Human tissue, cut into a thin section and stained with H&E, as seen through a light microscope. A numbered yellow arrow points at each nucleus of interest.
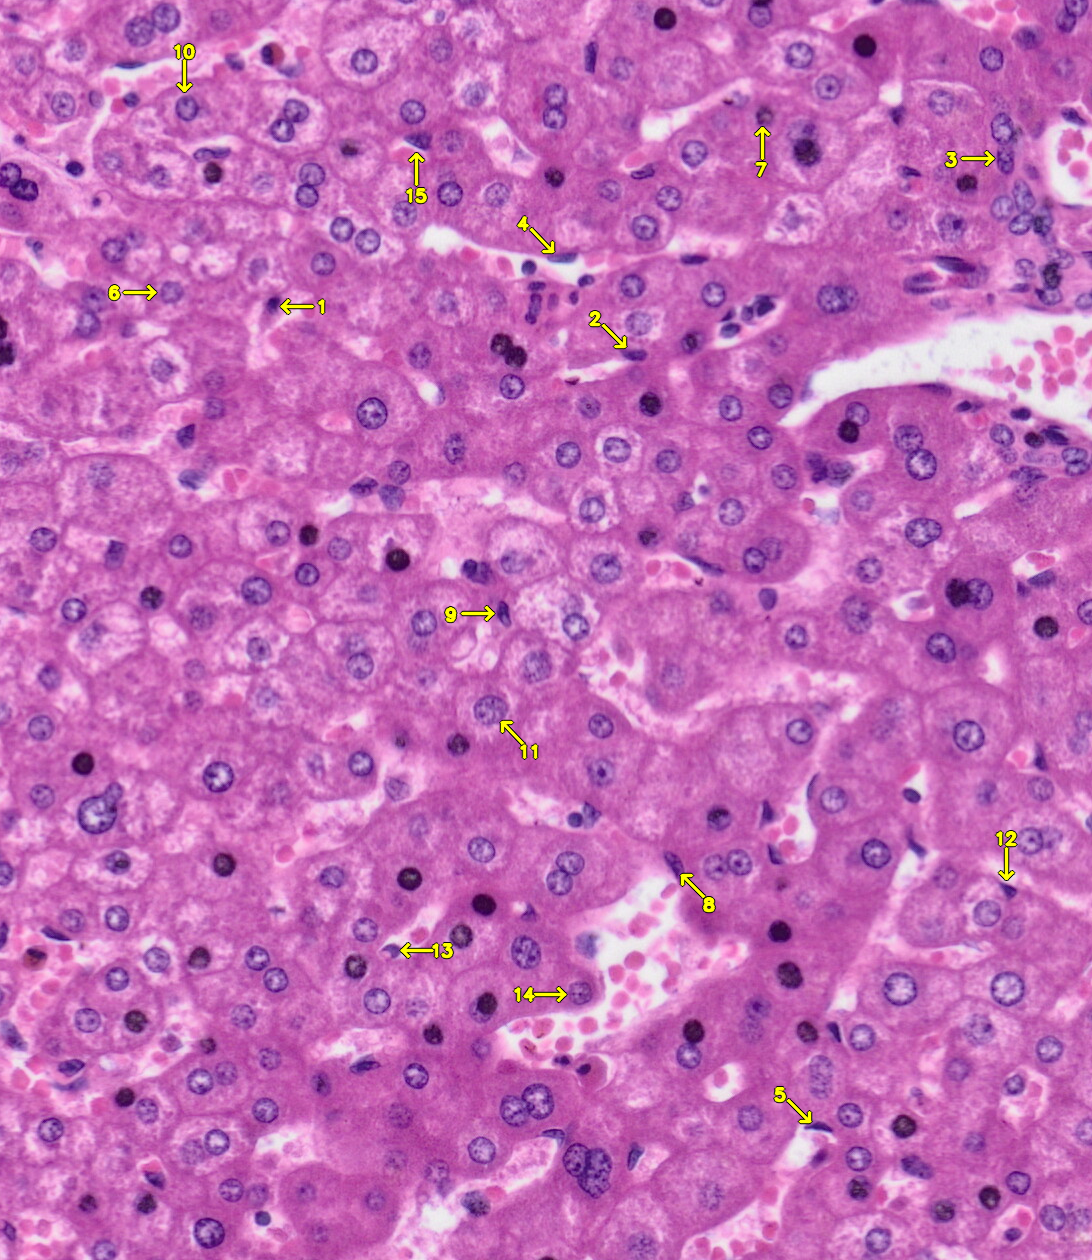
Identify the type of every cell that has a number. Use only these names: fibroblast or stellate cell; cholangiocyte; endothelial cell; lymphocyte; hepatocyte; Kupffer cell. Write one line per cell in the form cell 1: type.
cell 1: Kupffer cell
cell 2: fibroblast or stellate cell
cell 3: cholangiocyte
cell 4: endothelial cell
cell 5: endothelial cell
cell 6: hepatocyte
cell 7: hepatocyte
cell 8: fibroblast or stellate cell
cell 9: fibroblast or stellate cell
cell 10: hepatocyte
cell 11: hepatocyte
cell 12: fibroblast or stellate cell
cell 13: Kupffer cell
cell 14: hepatocyte
cell 15: endothelial cell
